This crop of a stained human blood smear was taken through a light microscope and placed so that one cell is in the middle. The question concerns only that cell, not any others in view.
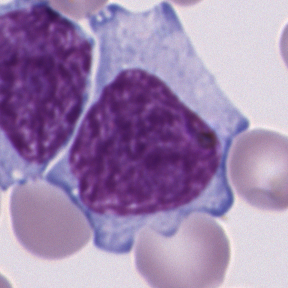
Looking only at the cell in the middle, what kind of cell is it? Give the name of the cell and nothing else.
myeloblast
